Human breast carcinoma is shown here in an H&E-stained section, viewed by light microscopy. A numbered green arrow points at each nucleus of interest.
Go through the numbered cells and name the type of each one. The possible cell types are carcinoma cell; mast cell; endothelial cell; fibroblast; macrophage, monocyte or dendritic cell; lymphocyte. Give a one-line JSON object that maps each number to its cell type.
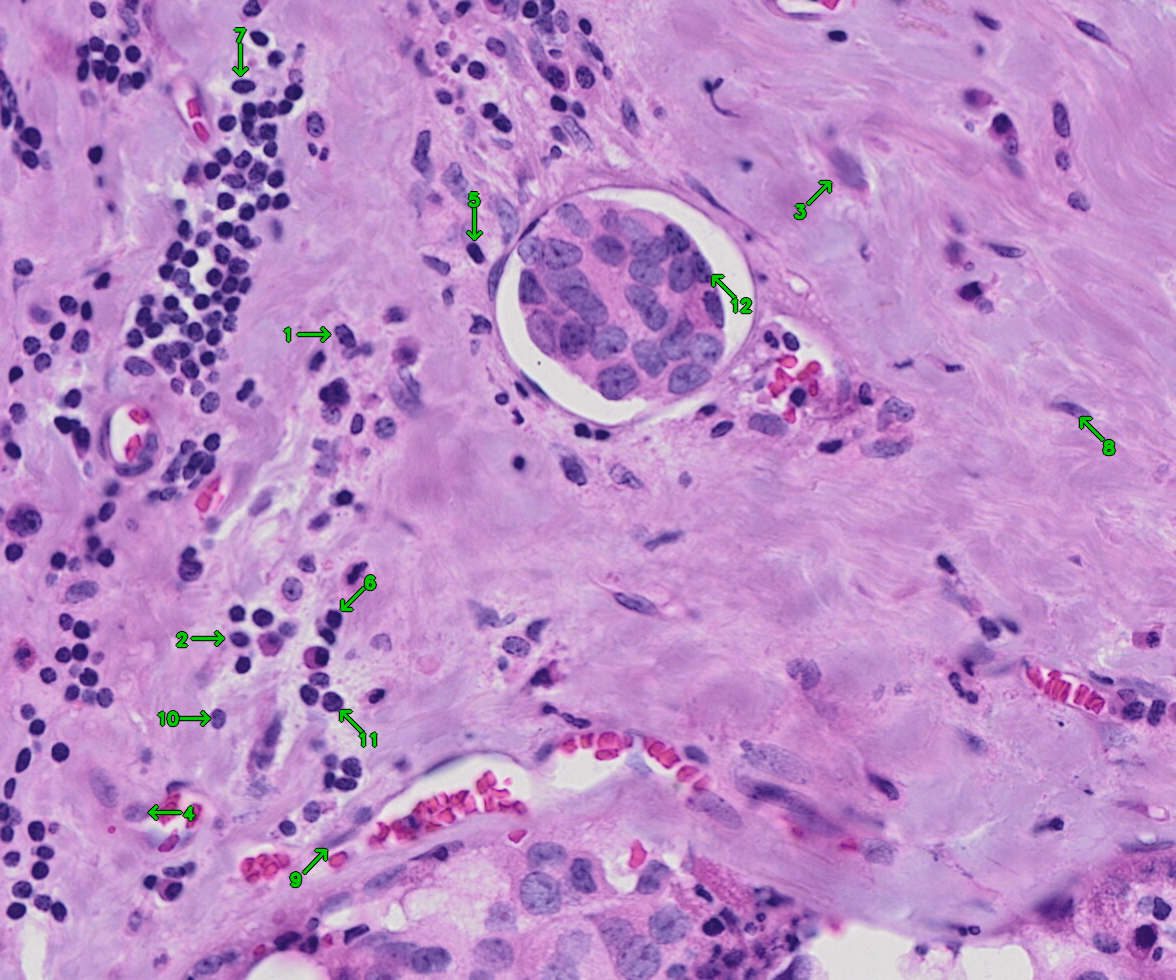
{"1": "lymphocyte", "2": "lymphocyte", "3": "fibroblast", "4": "endothelial cell", "5": "lymphocyte", "6": "lymphocyte", "7": "lymphocyte", "8": "fibroblast", "9": "endothelial cell", "10": "lymphocyte", "11": "lymphocyte", "12": "carcinoma cell"}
